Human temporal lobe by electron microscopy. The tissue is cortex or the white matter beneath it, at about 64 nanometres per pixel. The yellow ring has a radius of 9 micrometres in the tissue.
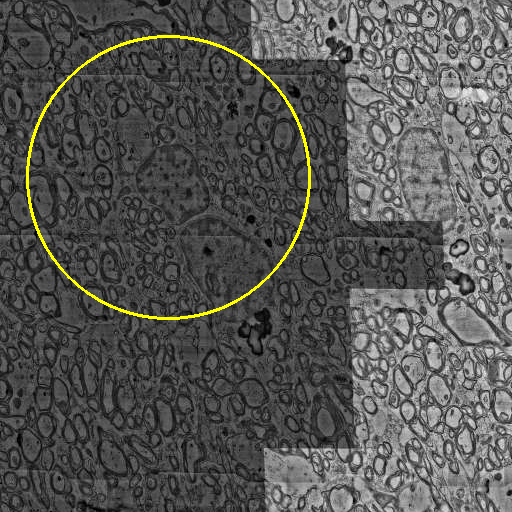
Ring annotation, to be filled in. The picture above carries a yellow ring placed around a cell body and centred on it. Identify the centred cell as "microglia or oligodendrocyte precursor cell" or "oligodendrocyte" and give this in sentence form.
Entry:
The cell in the middle of the ring is a microglial cell or oligodendrocyte precursor cell.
